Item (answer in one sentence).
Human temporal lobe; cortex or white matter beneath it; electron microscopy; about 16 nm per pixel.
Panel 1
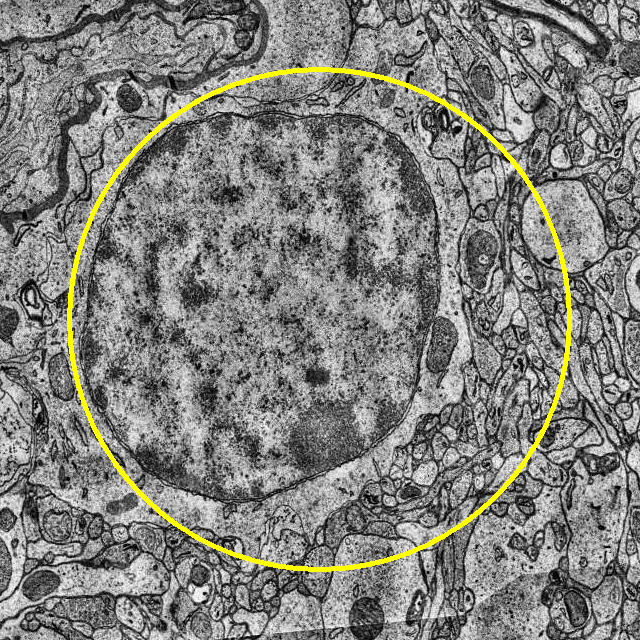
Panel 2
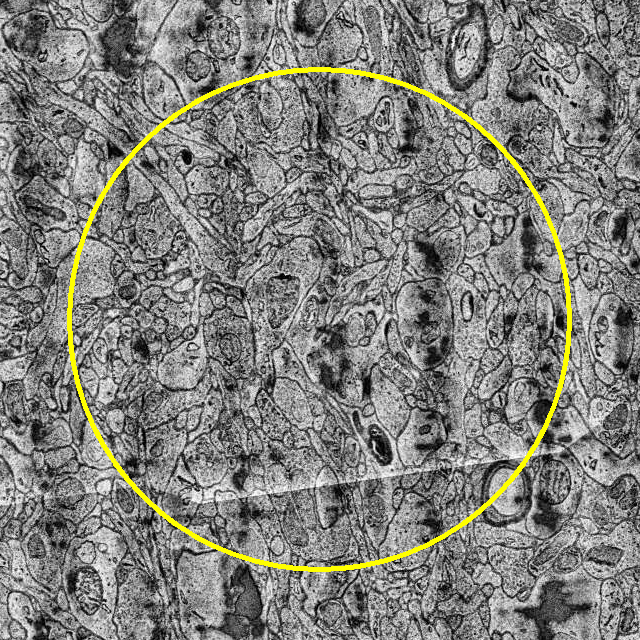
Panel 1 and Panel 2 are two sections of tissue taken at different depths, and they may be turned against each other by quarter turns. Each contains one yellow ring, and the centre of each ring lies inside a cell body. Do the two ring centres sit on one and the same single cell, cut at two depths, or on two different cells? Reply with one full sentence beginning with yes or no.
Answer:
Yes, what the two rings mark is one cell.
